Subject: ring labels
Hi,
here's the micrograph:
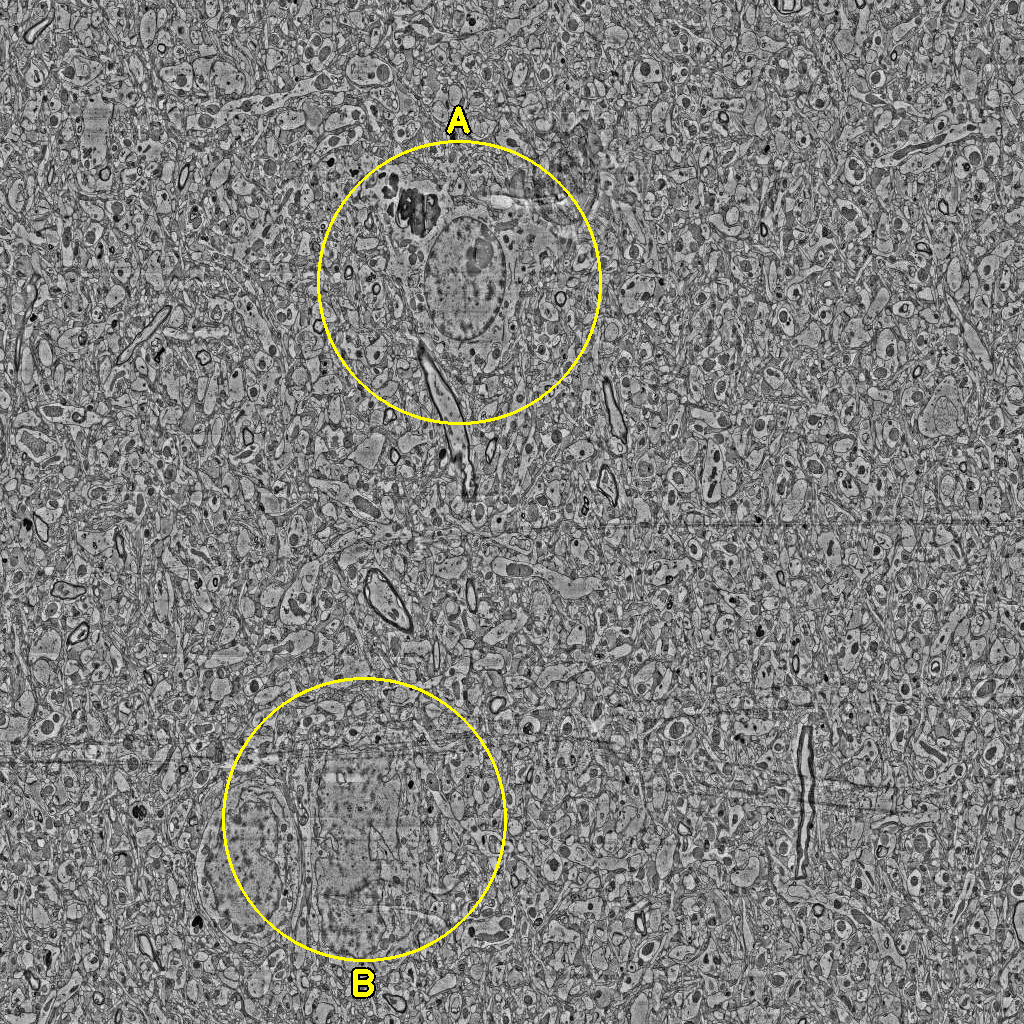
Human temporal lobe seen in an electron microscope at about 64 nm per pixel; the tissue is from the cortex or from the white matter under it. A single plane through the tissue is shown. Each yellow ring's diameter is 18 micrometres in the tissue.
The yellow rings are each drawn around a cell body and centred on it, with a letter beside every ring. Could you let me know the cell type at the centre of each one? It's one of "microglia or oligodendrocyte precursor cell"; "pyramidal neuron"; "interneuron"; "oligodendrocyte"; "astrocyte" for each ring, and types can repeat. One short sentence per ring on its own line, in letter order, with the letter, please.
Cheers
The type at the centre of ring A is an astrocyte.
The type at the centre of ring B is an interneuron.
